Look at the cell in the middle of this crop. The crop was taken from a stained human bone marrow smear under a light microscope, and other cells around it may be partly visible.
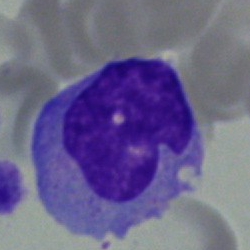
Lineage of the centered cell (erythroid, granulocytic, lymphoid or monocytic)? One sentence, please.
The cell of interest in the center belongs to the monocytic lineage.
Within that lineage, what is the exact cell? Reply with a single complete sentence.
For this crop, the central cell is a monocyte.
